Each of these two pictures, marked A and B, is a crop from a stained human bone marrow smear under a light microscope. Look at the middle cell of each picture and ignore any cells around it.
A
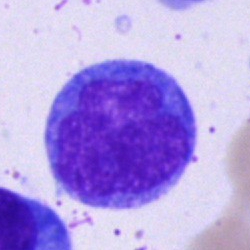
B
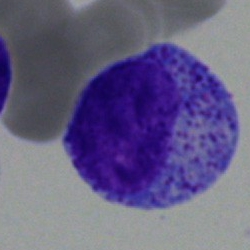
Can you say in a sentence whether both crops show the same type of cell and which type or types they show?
No, whereas crop A shows a monocyte, crop B shows a promyelocyte.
